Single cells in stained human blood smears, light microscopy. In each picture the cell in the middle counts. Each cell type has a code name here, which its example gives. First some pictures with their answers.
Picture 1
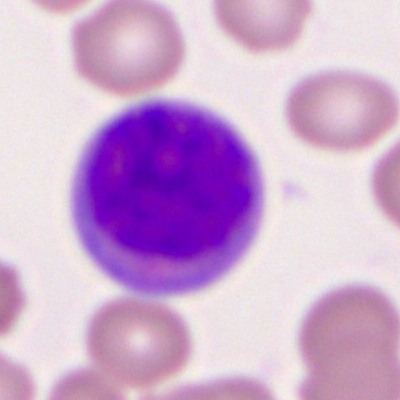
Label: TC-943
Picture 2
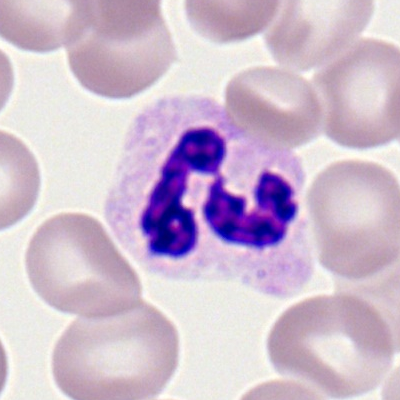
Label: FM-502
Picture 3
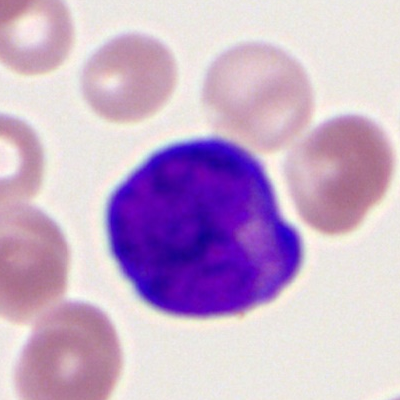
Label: TC-943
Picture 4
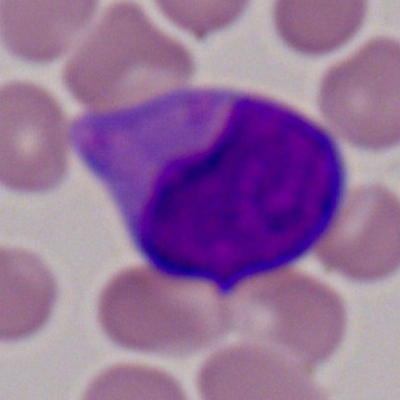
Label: TC-943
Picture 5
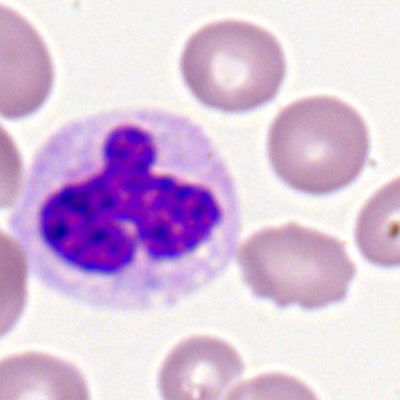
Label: FM-502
